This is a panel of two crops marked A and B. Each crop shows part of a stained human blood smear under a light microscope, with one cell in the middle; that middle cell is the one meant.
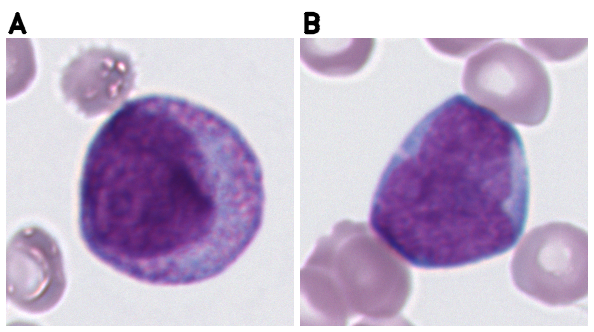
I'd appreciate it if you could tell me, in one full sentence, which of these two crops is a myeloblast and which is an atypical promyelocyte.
Displayed in crop A is an atypical promyelocyte, while crop B displays a myeloblast.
